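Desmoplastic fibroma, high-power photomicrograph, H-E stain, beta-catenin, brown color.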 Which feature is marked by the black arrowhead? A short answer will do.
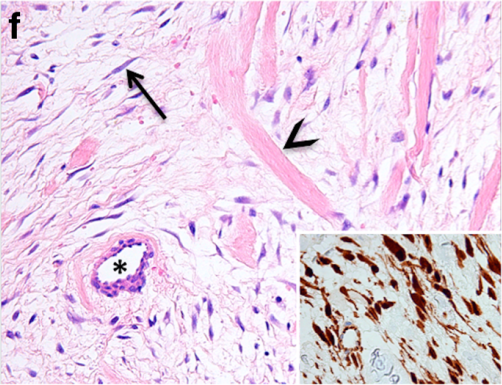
a thick collagen bundle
